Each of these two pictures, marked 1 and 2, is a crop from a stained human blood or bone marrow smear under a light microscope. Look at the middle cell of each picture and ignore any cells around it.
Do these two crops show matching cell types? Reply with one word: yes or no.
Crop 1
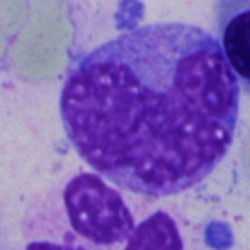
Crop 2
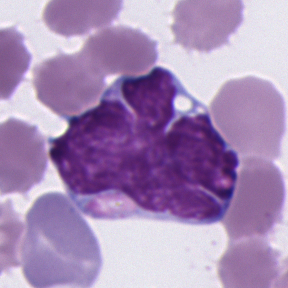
yes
